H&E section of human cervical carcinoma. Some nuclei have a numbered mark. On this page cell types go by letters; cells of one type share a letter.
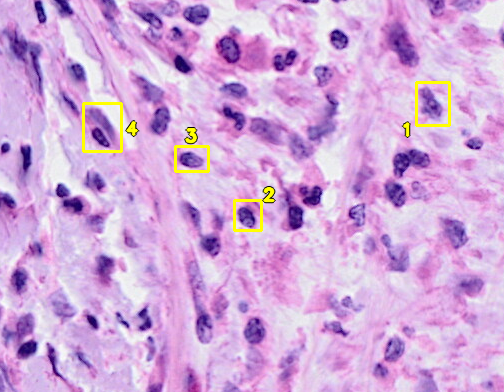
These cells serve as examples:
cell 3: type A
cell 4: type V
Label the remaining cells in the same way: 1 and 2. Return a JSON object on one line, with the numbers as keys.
{"1": "type V", "2": "type A"}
